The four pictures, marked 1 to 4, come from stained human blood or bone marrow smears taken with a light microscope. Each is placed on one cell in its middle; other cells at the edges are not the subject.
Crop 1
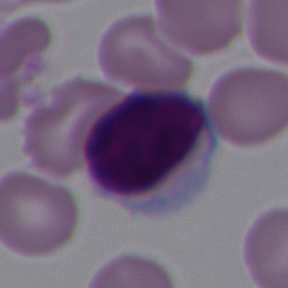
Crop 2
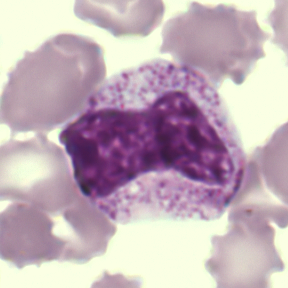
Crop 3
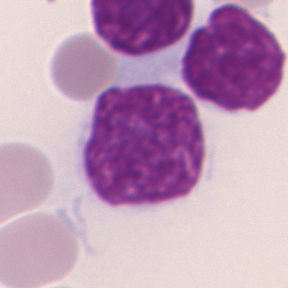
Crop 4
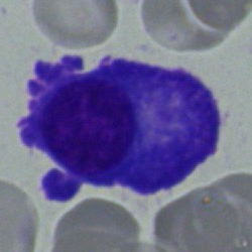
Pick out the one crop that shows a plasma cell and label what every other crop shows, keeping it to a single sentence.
The crop marked 4 contains a plasma cell, while crop 1 is a lymphocyte, crop 2 is a metamyelocyte and crop 3 is a blast.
